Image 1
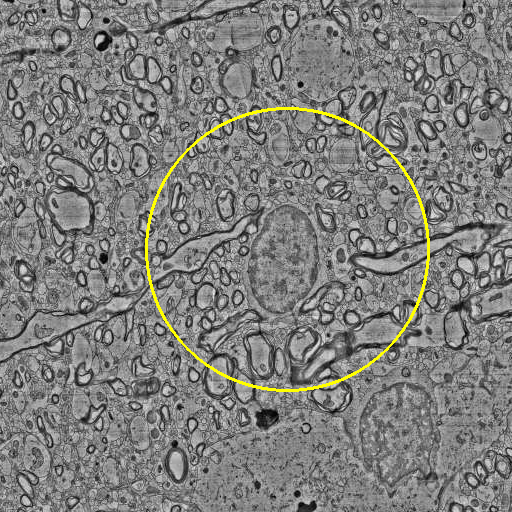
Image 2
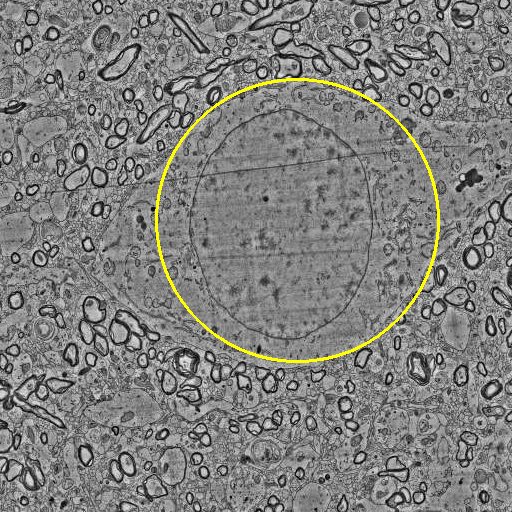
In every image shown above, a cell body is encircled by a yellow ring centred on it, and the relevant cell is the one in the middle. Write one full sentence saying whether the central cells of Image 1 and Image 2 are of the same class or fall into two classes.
The cell at the ring's centre in Image 1 and its counterpart in Image 2 fall into two classes.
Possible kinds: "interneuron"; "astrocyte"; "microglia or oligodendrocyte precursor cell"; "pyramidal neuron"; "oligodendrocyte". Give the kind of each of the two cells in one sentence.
The cell in the second picture is a pyramidal neuron, and that in the first is an oligodendrocyte.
